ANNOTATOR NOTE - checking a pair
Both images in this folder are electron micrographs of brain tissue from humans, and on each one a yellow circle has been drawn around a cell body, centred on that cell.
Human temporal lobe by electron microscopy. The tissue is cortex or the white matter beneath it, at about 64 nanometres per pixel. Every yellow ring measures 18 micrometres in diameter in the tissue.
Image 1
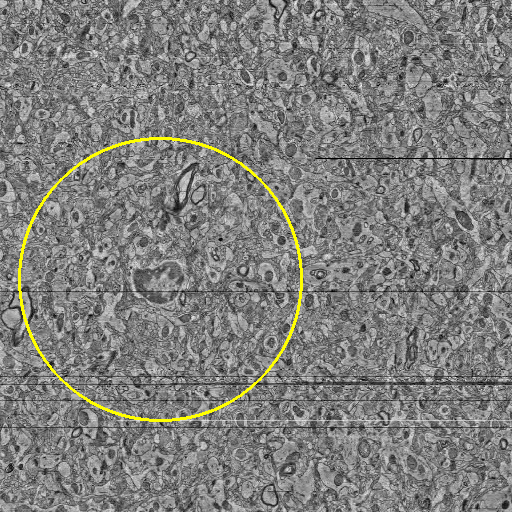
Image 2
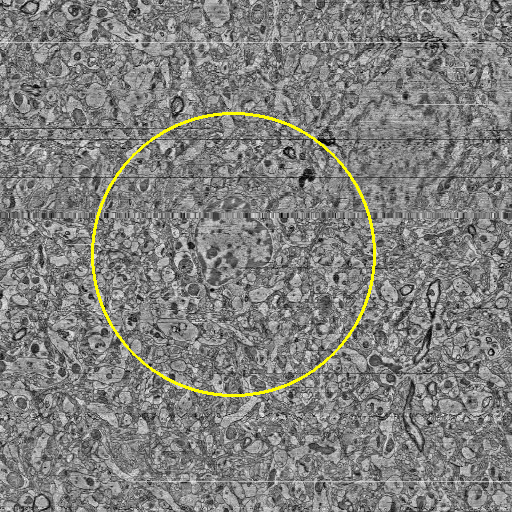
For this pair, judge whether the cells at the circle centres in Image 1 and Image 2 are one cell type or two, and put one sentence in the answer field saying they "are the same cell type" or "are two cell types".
For this pair, the cells at the circle centres in Images 1 and 2 are the same cell type.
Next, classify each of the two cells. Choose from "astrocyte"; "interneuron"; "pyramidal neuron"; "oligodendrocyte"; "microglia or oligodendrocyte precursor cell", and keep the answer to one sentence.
Each one of the two ringed cells is a microglial cell or oligodendrocyte precursor cell.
